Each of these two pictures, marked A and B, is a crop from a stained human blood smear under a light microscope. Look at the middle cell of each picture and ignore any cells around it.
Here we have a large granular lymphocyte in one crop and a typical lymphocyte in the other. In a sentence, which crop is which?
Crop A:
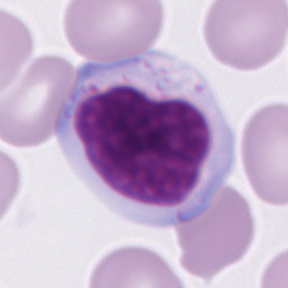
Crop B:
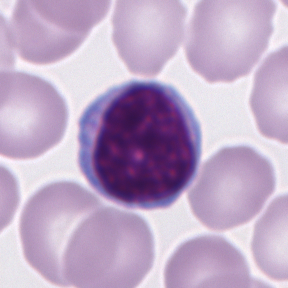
Crop A features a large granular lymphocyte, while crop B features a typical lymphocyte.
